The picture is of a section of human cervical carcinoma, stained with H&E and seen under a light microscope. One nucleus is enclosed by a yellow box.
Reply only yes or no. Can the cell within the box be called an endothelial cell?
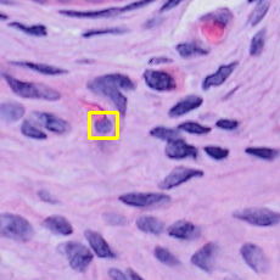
yes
